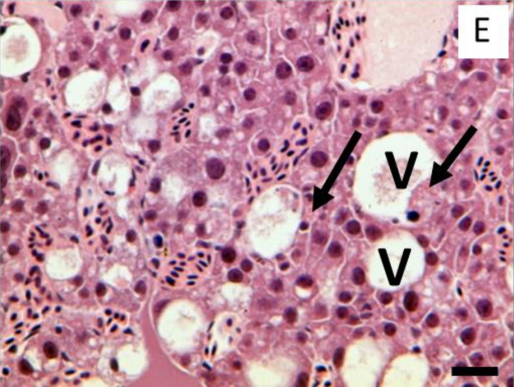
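Liver tissue with hepatocytes interrupted by large round clear vacuoles of hydropic vacuolar degeneration, several containing pale pink fibrillary material. The surrounding hepatocytes are small, with round dark nuclei and granular pink cytoplasm, and some cells at the vacuole margins are necrotic. Spaces between the cells hold numerous small, elongated, dark nuclei.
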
